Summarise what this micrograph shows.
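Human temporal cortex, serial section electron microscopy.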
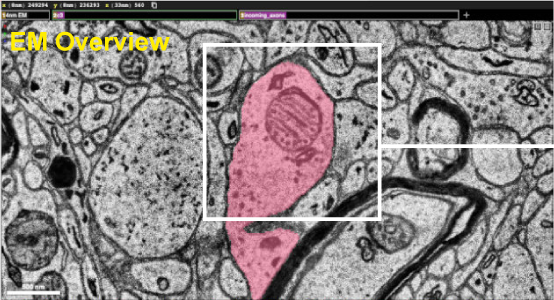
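Inside the swelling lies an oval mitochondrion with parallel cristae, framed by a box, with dark membrane fragments along its border. Around it the neuropil is packed with membrane-bound profiles of varied size, including a large pale cell body or process on the left, small round axons, and thick dark myelin sheaths crossing the lower right. Other mitochondria appear as small dark striped ovals in neighbouring profiles.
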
